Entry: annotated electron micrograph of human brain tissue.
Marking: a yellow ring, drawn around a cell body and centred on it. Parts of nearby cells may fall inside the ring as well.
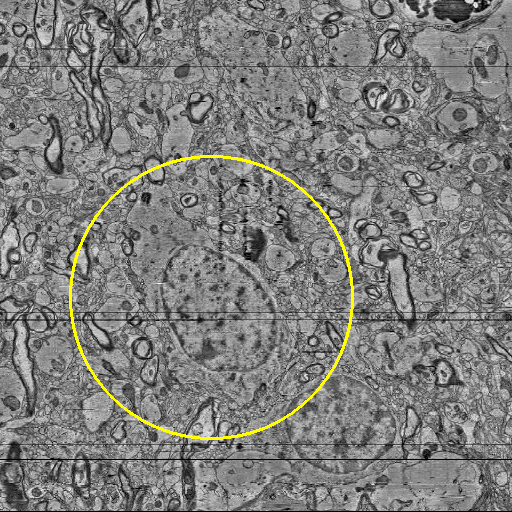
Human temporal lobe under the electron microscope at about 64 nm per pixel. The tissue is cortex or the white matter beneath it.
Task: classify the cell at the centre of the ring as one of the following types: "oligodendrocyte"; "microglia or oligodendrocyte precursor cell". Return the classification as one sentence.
The marked cell is classified as a microglial cell or oligodendrocyte precursor cell.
